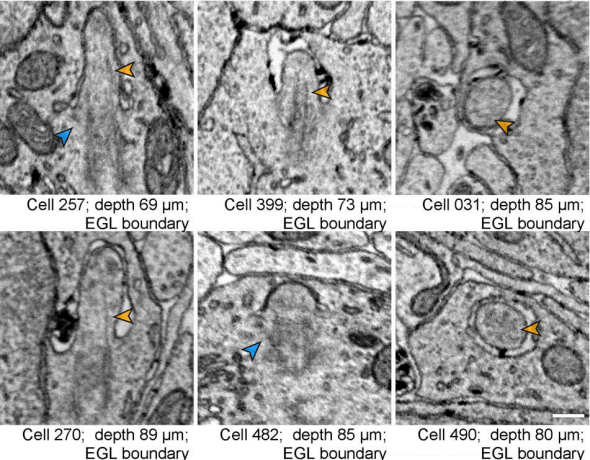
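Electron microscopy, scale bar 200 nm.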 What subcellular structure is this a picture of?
short cilia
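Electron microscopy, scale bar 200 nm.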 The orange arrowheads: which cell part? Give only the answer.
Microtubules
